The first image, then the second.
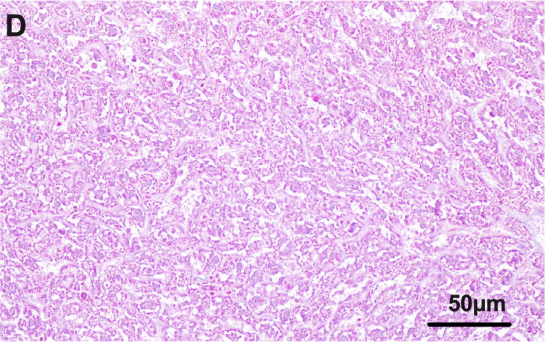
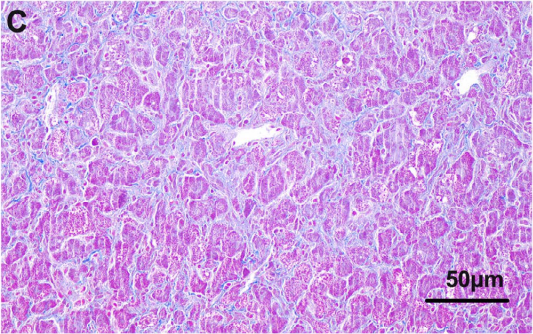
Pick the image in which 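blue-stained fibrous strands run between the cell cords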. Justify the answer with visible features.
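The second image. First image: pale pink tissue with no distinct blue strands. Second image: a network of blue strands outlines the red-purple cell cords.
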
